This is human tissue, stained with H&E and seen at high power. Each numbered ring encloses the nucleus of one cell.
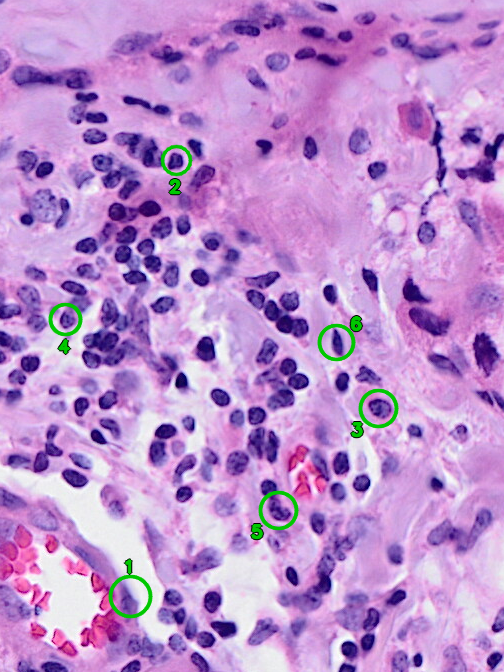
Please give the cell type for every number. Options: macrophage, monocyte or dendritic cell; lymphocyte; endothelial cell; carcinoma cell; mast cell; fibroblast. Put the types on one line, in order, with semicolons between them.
endothelial cell; lymphocyte; mast cell; lymphocyte; lymphocyte; lymphocyte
